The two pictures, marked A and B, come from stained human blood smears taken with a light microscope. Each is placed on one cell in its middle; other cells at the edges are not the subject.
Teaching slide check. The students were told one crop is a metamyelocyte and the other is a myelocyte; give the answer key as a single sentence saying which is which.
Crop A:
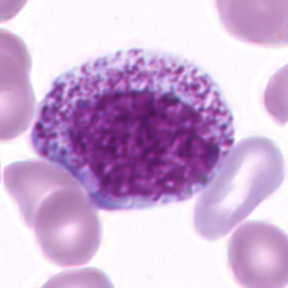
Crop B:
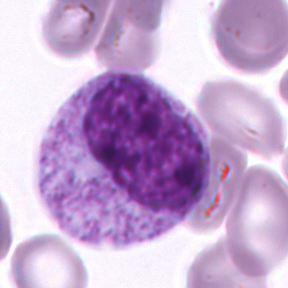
As for the pair, crop A is a myelocyte and crop B is a metamyelocyte.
